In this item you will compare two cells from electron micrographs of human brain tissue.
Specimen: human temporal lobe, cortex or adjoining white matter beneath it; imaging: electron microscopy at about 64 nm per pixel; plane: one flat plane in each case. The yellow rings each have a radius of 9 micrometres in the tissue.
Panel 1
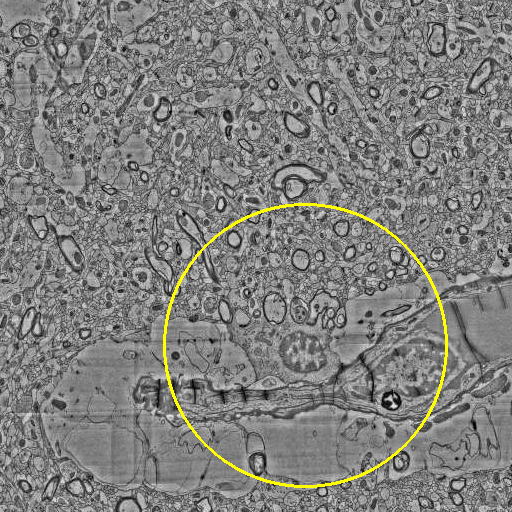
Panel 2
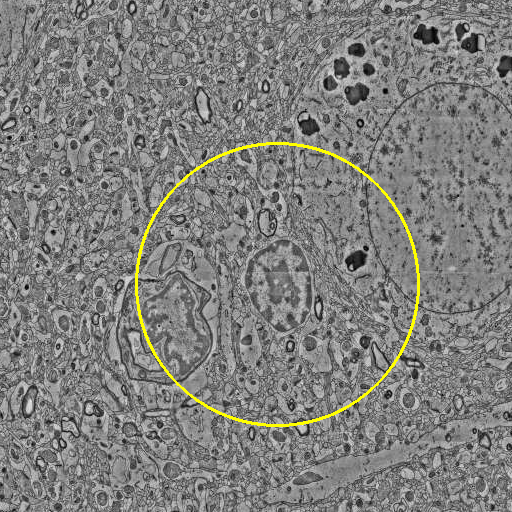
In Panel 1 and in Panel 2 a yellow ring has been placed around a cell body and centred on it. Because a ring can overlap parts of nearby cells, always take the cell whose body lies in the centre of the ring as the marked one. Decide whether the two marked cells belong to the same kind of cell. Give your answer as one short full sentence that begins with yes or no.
No, the two marked cells belong to two kinds of cell.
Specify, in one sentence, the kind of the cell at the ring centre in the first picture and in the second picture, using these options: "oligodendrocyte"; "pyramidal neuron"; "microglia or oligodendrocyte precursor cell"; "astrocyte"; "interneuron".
So the first is an oligodendrocyte, the second a microglial cell or oligodendrocyte precursor cell.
